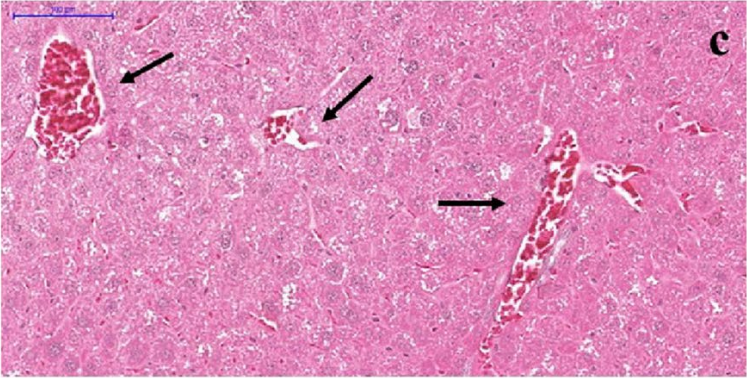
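Liver parenchyma with hepatic vessels distended and packed with red blood cells. Several vessels, both rounded and elongated, contain dense masses of bright red erythrocytes filling most of the lumen. Smaller branching vessels also hold clusters of red cells. Scattered small clear spaces appear among the hepatocytes.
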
